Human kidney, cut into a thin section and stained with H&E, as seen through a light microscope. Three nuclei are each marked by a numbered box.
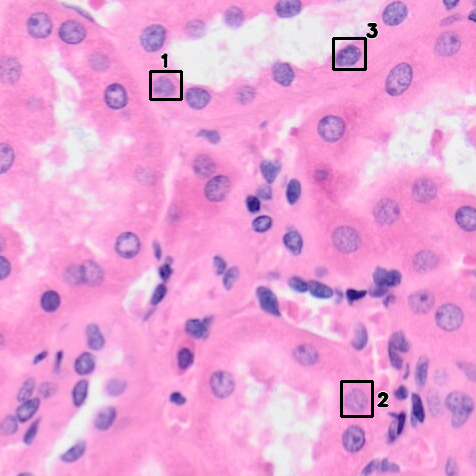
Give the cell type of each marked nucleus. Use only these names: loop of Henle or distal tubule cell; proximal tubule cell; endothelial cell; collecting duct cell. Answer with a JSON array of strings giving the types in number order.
["loop of Henle or distal tubule cell", "proximal tubule cell", "loop of Henle or distal tubule cell"]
